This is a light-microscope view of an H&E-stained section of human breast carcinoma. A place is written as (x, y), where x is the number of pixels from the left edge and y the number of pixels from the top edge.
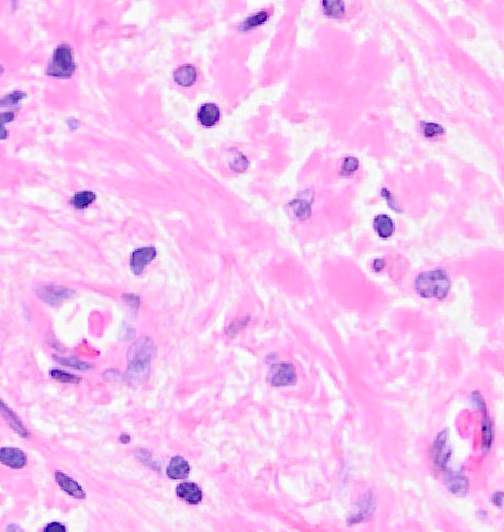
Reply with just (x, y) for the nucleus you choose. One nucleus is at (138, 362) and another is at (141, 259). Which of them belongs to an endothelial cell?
(138, 362)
